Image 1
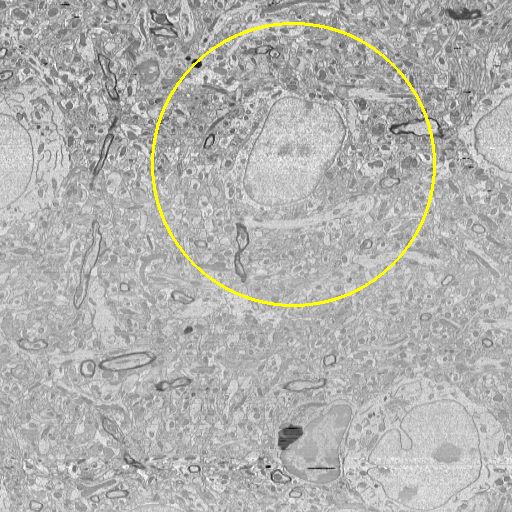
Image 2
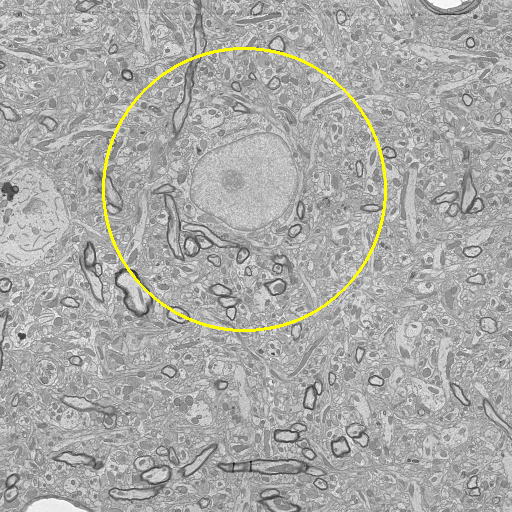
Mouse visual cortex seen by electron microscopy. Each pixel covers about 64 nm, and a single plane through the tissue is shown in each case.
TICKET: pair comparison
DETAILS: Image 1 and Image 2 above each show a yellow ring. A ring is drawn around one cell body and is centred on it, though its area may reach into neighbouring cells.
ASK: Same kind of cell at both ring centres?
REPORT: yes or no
yes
